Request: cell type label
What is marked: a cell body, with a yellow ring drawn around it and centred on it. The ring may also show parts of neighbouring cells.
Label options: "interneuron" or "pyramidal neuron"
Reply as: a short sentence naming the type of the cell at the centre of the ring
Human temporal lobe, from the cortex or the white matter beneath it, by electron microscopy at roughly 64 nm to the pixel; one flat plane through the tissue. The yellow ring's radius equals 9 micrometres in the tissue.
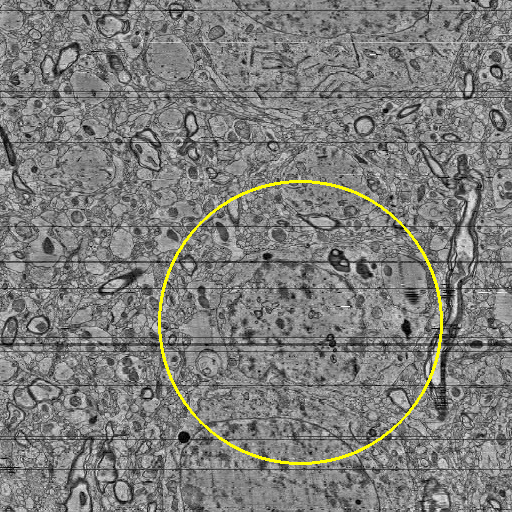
The marked cell body is that of an interneuron.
